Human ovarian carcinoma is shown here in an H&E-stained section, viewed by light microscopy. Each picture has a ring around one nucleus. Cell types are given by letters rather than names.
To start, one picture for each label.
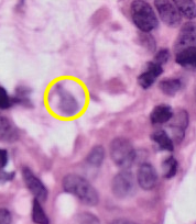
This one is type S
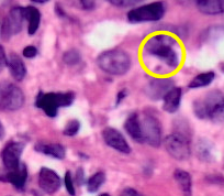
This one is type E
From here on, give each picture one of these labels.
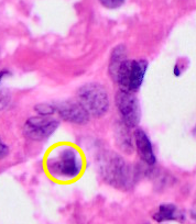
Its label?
type E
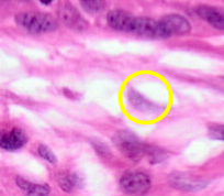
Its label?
type S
